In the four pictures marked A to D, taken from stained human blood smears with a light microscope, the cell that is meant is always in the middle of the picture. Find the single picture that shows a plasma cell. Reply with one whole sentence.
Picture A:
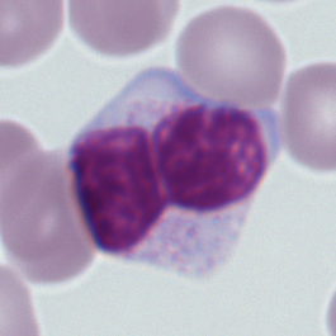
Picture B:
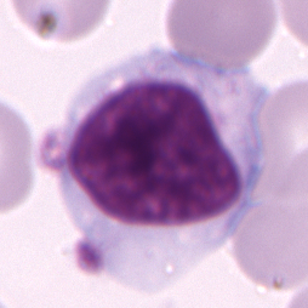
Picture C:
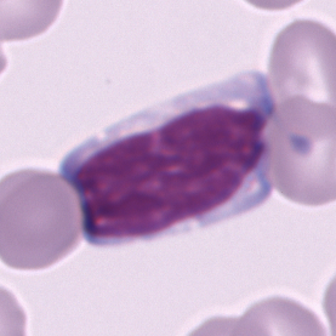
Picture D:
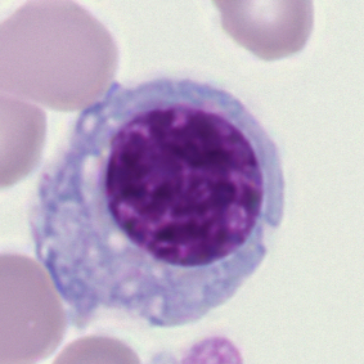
It is picture D that shows the plasma cell.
